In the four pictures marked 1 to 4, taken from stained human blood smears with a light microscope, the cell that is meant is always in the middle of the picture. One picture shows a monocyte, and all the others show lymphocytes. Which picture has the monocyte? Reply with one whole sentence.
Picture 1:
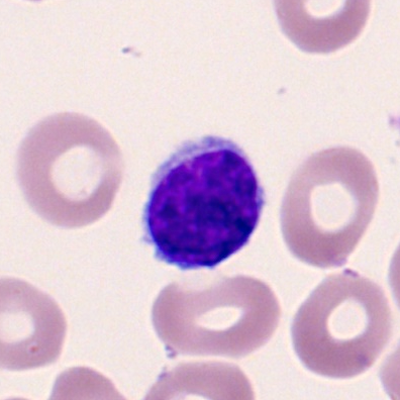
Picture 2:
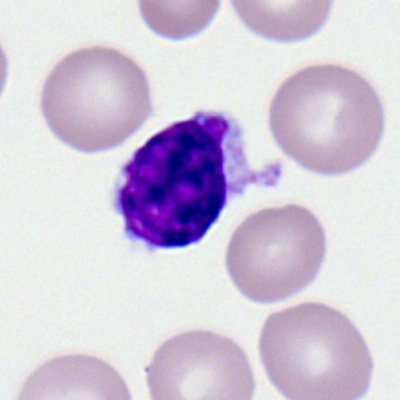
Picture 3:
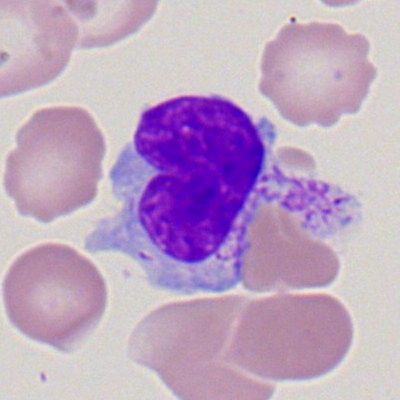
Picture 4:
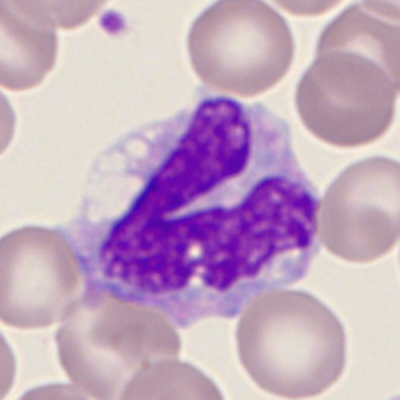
The monocyte is the one in picture 4.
